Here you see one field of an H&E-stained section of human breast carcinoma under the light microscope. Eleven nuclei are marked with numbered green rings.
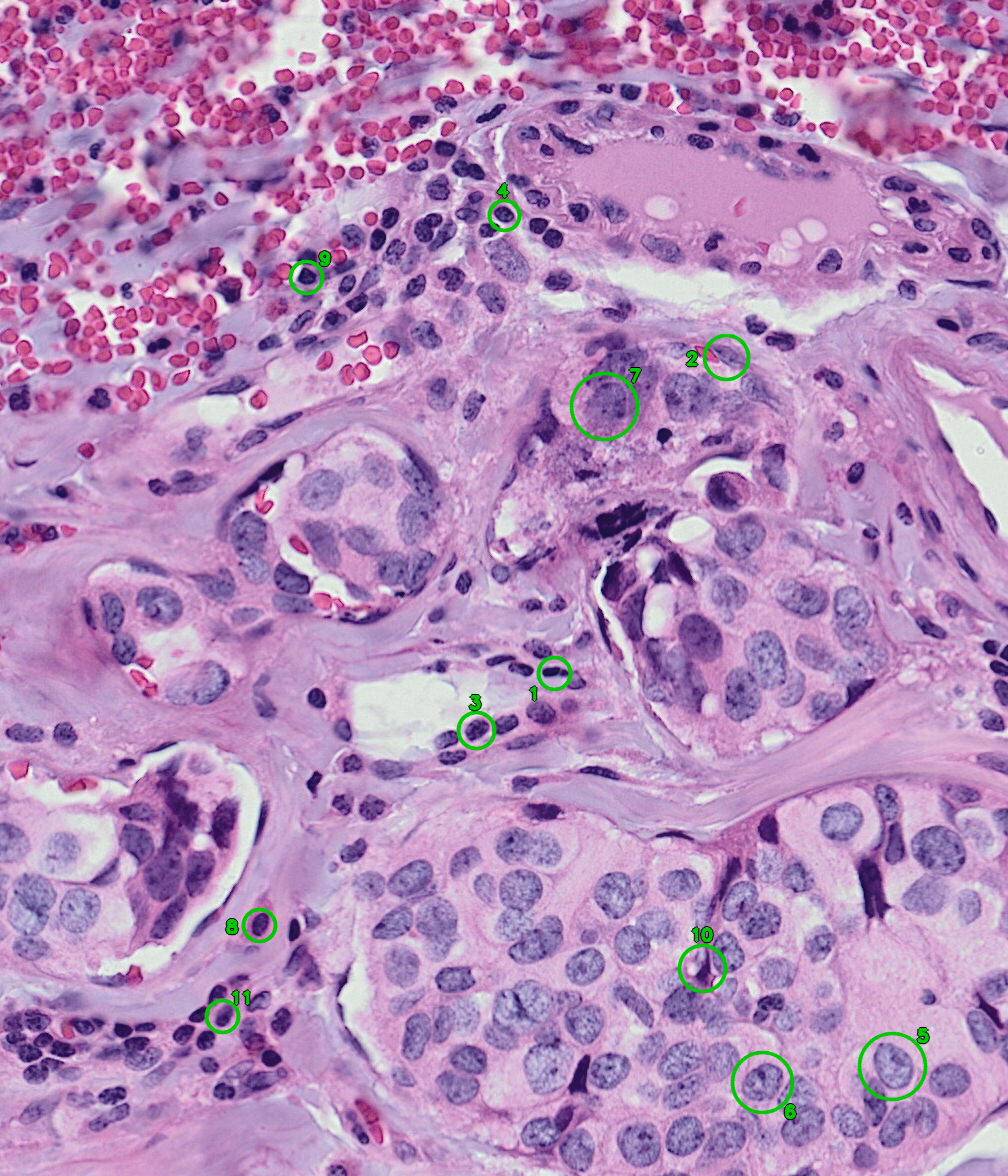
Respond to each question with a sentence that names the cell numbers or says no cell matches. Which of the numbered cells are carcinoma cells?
Here, the cells that carry numbers 5, 6, 7 and 10 are carcinoma cells.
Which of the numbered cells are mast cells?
Of the cells carrying numbers, just cell 8 is a mast cell.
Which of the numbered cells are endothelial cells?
There is just one numbered cell that is an endothelial cell, and it is cell 2.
